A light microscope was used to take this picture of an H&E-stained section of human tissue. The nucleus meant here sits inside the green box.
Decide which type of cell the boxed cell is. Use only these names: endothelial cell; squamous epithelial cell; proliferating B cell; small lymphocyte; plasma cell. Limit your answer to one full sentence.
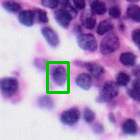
The cell type represented by the boxed cell is that of a small lymphocyte.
